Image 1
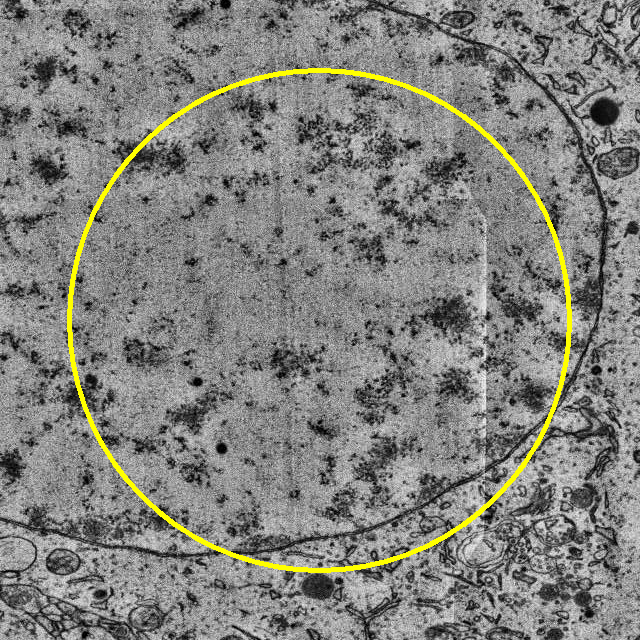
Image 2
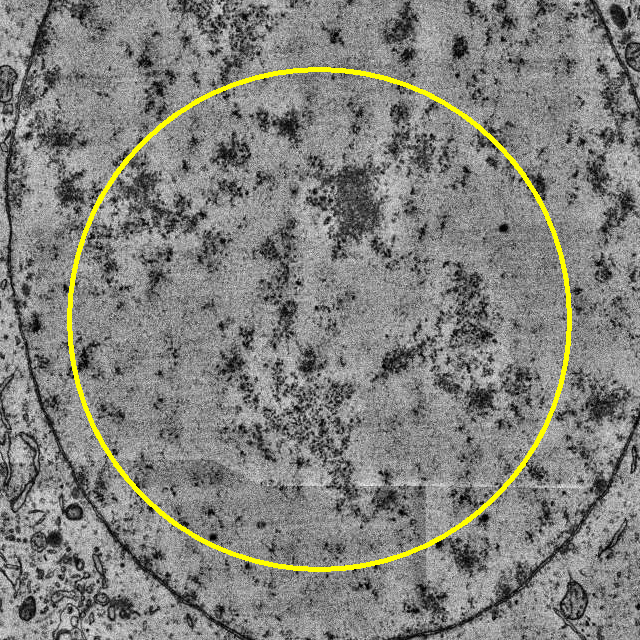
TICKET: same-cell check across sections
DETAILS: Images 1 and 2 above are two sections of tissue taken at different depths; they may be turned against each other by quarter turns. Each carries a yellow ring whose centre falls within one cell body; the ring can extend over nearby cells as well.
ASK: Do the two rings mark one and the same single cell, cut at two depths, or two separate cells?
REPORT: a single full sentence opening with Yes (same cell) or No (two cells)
No, one ring marks one cell and the other ring marks another.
